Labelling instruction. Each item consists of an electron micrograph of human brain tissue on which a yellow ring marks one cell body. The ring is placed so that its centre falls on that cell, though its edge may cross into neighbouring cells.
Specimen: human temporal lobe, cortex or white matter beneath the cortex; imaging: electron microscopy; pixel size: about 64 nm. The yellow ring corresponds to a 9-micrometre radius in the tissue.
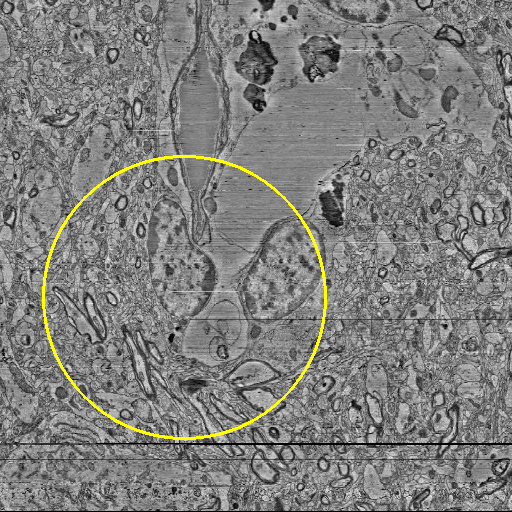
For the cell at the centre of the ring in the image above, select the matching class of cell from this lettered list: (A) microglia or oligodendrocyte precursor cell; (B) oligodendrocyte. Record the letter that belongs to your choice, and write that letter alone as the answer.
A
